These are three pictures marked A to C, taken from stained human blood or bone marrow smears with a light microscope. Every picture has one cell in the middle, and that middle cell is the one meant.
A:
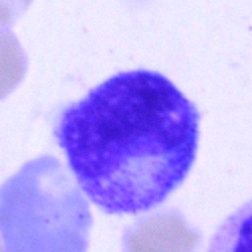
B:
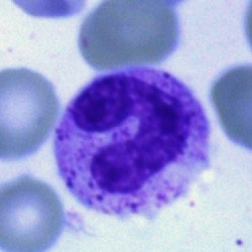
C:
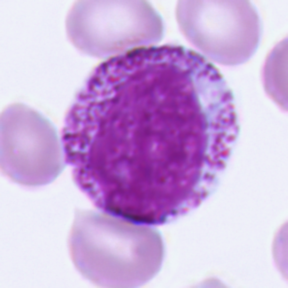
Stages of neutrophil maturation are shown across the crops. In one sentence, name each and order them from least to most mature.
Reading from least to most mature, the order comes out as crop C (a myelocyte), crop A (a metamyelocyte) and crop B (a band neutrophil).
